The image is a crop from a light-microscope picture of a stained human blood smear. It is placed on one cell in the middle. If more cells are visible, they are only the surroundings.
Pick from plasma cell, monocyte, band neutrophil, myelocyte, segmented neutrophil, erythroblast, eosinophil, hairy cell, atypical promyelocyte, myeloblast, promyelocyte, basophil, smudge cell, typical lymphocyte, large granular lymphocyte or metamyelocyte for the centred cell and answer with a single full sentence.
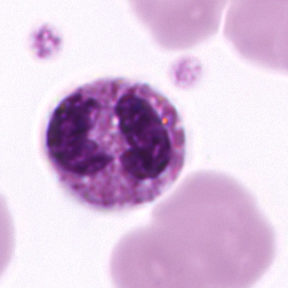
Answering briefly, the cell in the middle is an eosinophil.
